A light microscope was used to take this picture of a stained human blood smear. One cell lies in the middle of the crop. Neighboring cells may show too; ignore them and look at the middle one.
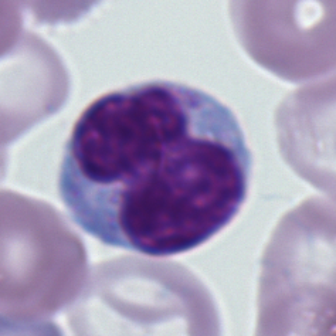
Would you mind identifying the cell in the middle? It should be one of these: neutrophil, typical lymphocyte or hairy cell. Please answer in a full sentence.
Located at the centre of the crop is a typical lymphocyte.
